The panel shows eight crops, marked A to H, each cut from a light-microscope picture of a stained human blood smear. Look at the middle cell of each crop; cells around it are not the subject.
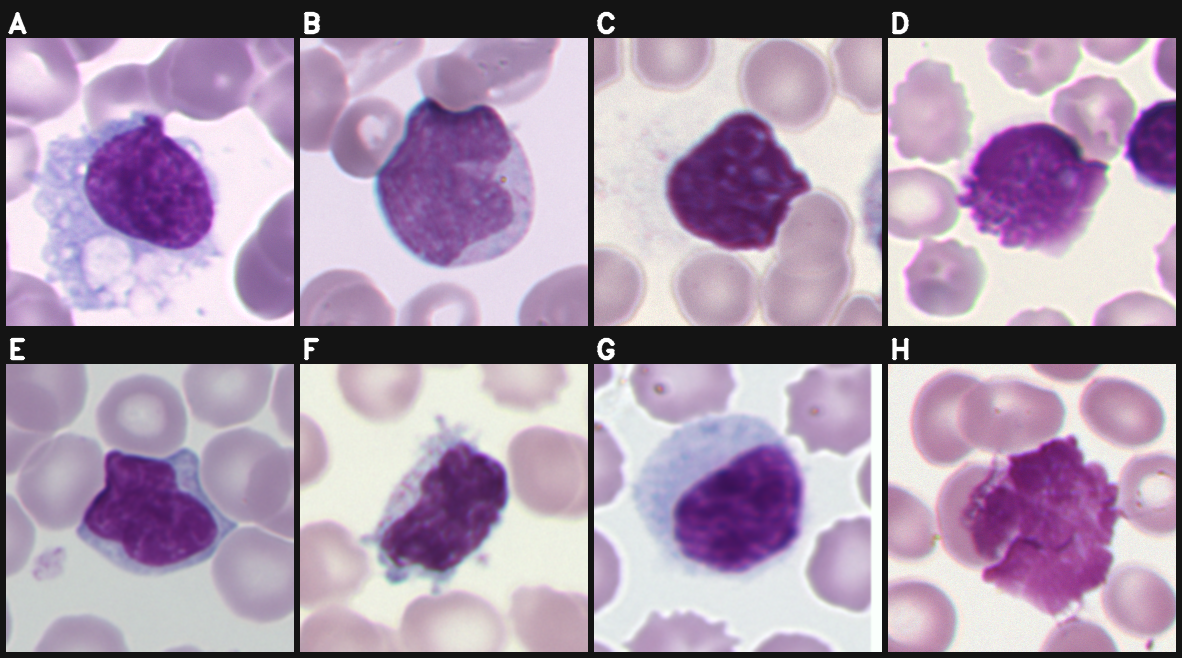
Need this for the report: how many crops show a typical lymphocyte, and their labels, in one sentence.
Crops E and F show typical lymphocytes, which makes two such crops.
